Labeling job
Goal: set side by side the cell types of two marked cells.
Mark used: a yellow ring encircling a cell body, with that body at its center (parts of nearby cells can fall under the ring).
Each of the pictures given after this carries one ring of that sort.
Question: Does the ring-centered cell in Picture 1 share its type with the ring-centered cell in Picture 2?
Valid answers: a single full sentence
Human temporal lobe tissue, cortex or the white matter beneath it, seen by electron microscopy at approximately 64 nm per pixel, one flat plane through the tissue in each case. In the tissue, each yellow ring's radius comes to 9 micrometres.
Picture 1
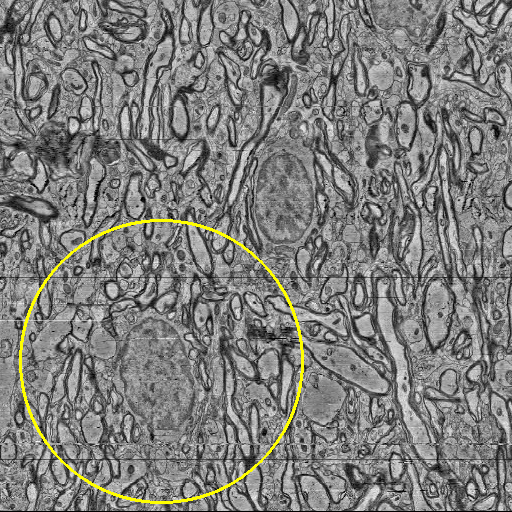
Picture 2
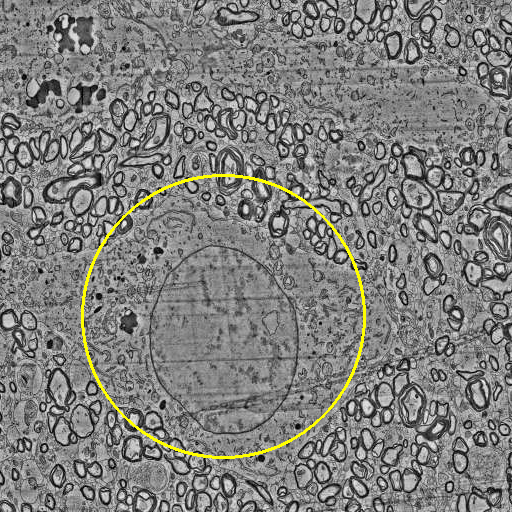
No, in Pictures 1 and 2 the cells at the ring centers have separate types.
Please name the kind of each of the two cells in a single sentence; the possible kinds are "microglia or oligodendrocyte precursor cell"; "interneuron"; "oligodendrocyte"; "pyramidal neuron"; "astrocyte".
In the first picture the ring is centred on an oligodendrocyte, and in the second on a pyramidal neuron.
